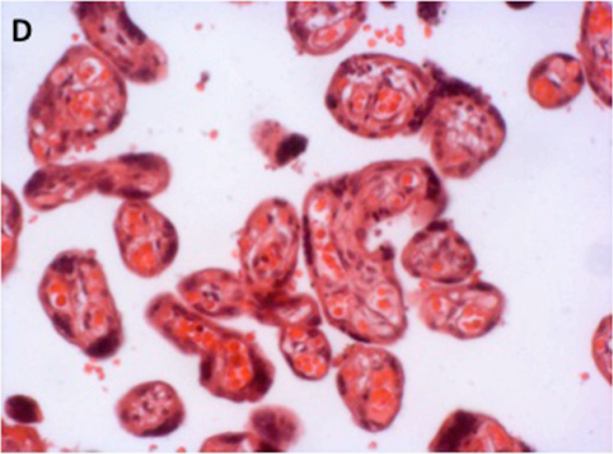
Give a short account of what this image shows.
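Numerous small, rounded terminal villi lie separated by open intervillous space. Each villus is filled with several capillary lumens packed with red-stained erythrocytes, leaving little stroma, and is bounded by a thin covering layer with darker nuclei in places.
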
